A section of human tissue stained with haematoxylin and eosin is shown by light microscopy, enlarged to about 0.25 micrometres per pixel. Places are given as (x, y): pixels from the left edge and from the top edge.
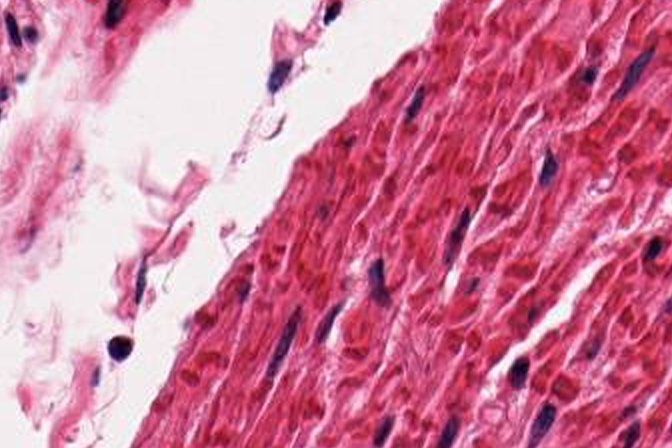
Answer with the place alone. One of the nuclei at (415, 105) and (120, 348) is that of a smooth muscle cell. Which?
(415, 105)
